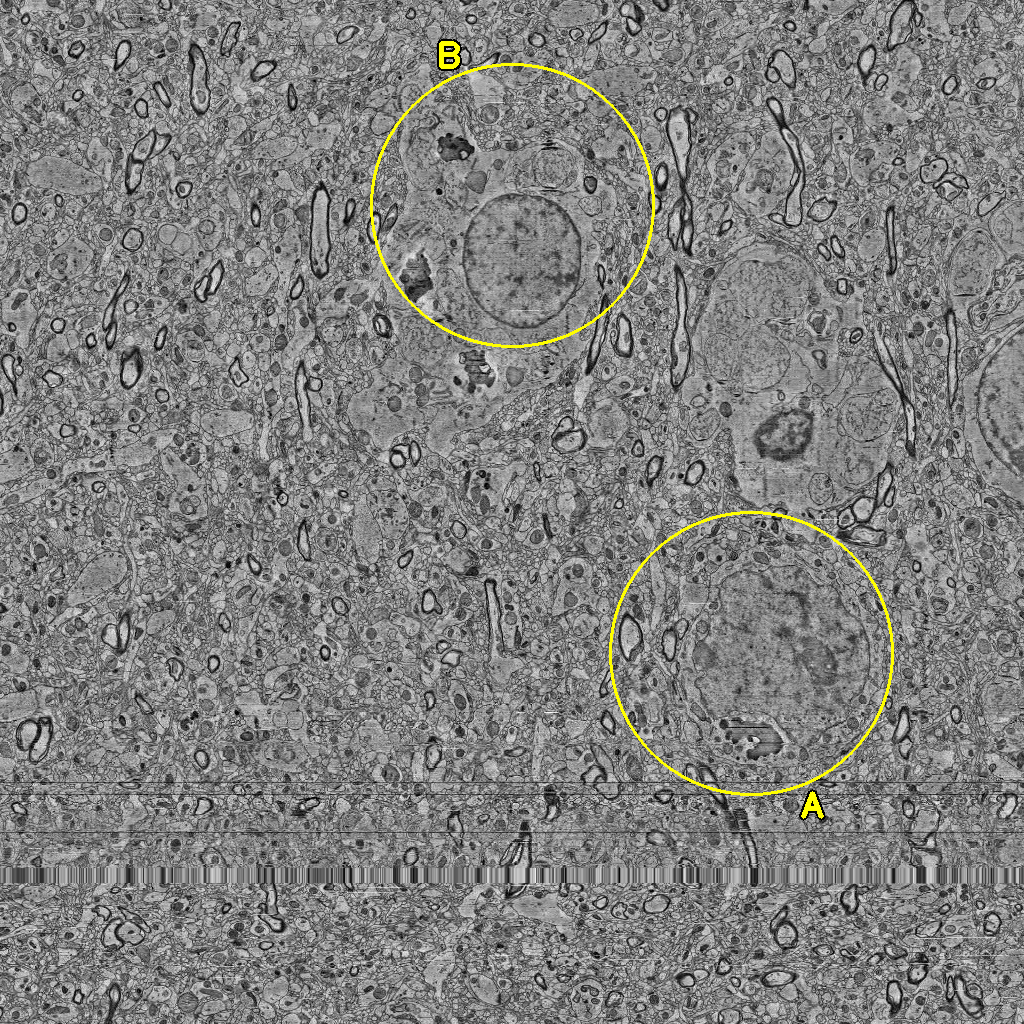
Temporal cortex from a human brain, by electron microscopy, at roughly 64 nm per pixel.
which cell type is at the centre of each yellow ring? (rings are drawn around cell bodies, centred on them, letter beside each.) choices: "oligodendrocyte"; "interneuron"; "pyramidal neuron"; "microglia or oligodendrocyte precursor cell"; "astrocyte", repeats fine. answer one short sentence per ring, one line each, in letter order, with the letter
Ring A is an interneuron.
Ring B is an astrocyte.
